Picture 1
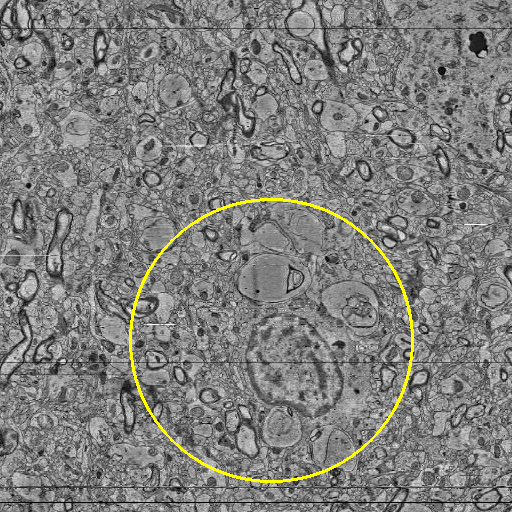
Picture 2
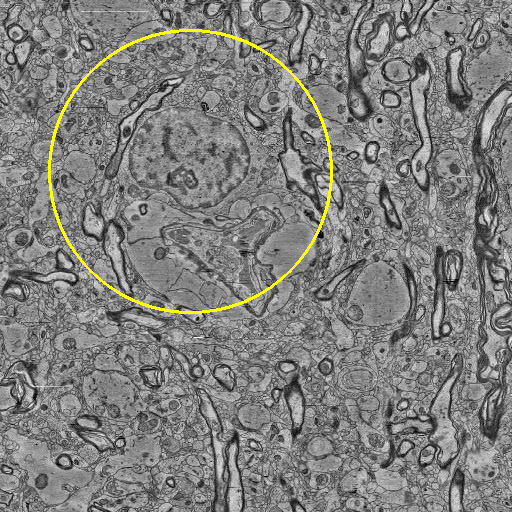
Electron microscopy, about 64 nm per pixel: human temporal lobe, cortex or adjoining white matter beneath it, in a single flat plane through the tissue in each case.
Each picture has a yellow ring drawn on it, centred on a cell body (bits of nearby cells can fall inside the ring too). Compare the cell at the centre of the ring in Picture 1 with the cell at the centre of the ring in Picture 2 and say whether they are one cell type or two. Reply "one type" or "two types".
one type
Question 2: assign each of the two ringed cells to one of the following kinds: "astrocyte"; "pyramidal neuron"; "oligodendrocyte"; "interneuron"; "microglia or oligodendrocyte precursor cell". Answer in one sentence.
Both the first and the second picture show an oligodendrocyte in the ring.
